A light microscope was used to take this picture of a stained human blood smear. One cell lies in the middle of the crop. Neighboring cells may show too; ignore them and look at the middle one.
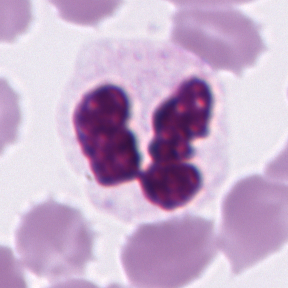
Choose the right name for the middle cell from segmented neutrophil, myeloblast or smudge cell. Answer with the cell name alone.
segmented neutrophil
